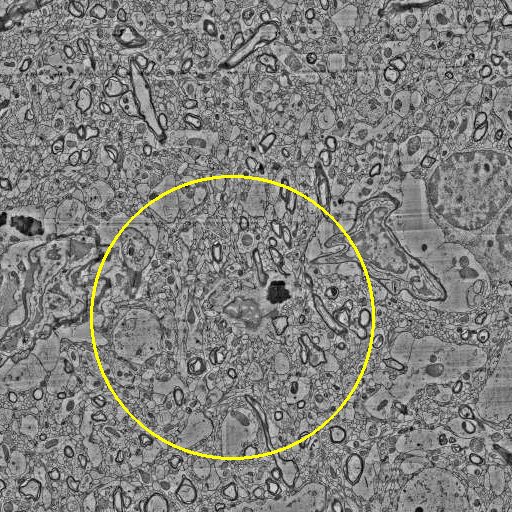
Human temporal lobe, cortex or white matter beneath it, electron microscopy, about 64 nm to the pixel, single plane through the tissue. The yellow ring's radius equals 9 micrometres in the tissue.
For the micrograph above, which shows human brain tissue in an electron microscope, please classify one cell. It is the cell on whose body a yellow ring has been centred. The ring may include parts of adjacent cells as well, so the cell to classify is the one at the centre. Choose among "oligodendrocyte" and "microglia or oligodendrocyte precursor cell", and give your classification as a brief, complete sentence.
I classify this cell as an oligodendrocyte.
